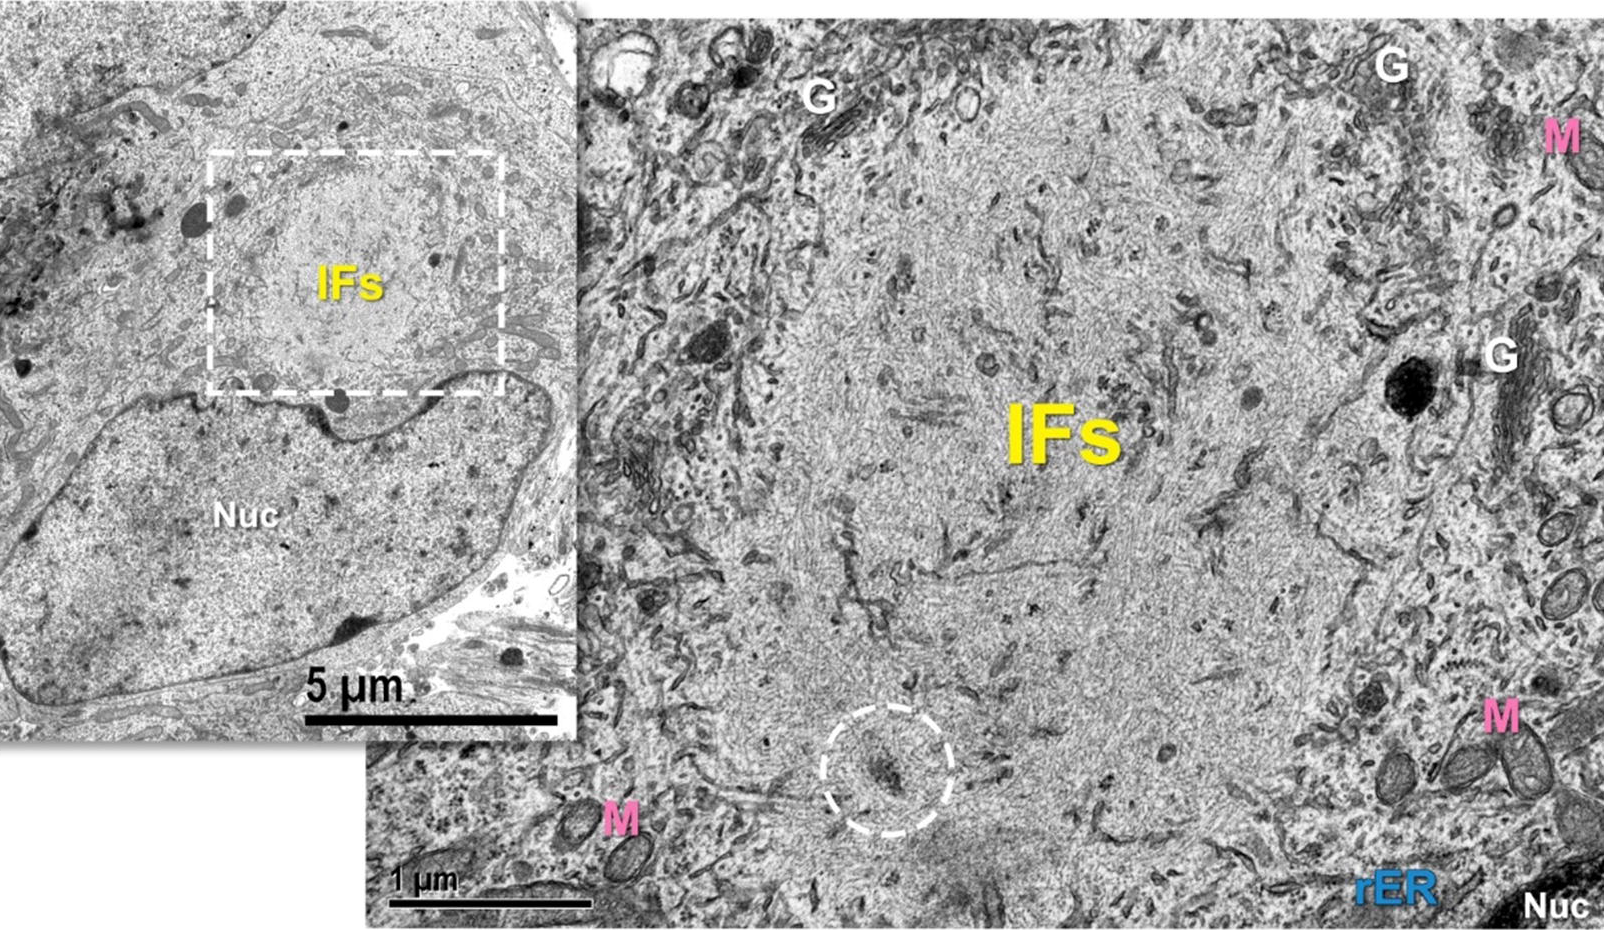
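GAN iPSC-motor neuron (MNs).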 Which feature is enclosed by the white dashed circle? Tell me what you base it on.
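Electron dense granular body. A small dark, dense patch lies inside the circle. It sits within a pale field of packed fine filaments.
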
